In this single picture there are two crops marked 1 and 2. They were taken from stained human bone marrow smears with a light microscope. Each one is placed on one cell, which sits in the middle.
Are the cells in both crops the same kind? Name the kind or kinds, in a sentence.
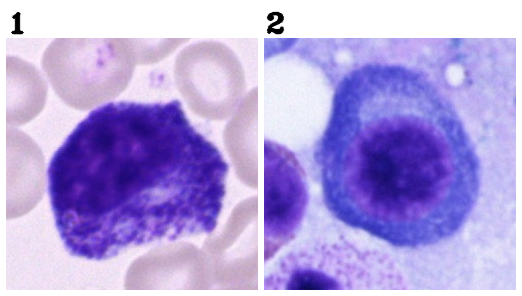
No, while a promyelocyte is found in crop 1, a plasma cell is found in crop 2.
